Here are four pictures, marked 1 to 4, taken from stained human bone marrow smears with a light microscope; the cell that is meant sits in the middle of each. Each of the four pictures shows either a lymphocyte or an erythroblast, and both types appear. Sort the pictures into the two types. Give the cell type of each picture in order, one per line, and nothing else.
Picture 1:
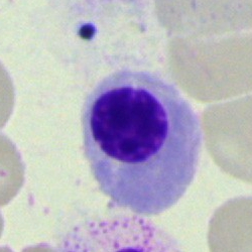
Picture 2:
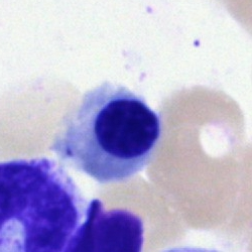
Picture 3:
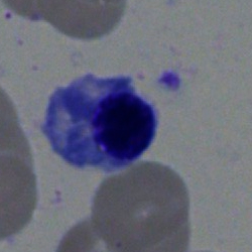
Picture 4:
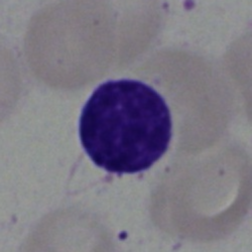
erythroblast
erythroblast
erythroblast
lymphocyte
